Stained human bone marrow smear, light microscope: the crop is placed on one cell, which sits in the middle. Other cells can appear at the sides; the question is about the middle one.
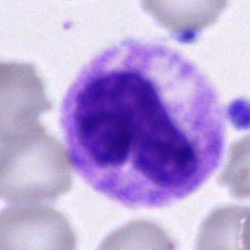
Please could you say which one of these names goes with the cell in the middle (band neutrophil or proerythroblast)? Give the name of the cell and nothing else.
band neutrophil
